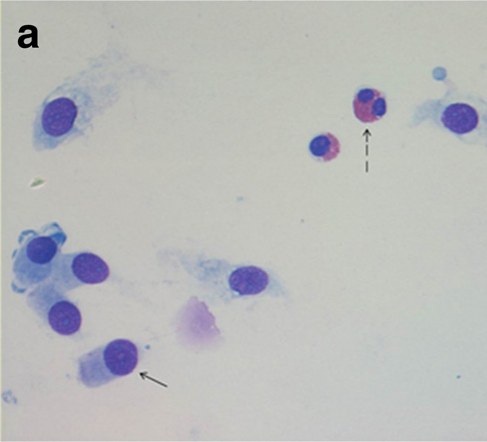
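Scattered on a pale background lie several large epithelial cells, each with irregular, pale blue cytoplasm and a single round to oval, dark purple nucleus placed centrally or off-centre. Some are elongated or have ragged edges. Between them sit a few much smaller round cells. Near the top, one small cell has cytoplasm packed with red-pink granules around a lobed purple nucleus, and a second small cell beside it shows similar pink cytoplasm: these are eosinophils.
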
